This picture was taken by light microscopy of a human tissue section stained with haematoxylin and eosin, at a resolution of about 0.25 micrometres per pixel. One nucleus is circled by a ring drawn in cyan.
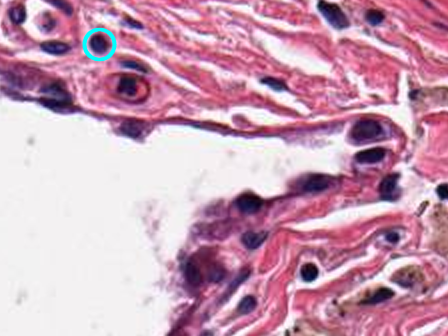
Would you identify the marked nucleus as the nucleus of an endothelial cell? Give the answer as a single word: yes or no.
no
